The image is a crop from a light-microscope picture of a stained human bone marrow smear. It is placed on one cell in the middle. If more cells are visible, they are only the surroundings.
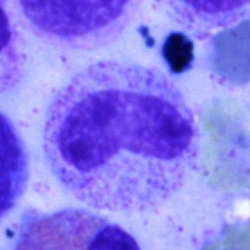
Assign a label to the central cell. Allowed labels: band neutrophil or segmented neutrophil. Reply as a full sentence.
The central cell, amid any neighbouring cells, is a band neutrophil.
